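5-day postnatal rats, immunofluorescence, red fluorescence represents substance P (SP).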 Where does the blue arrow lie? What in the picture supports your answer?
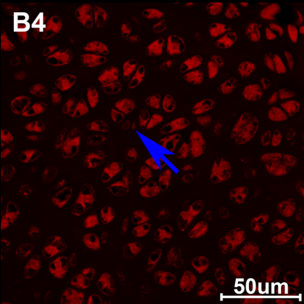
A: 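The arrow points between rounded cells in lacunae. The answer: matrix around the chondrocytes.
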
